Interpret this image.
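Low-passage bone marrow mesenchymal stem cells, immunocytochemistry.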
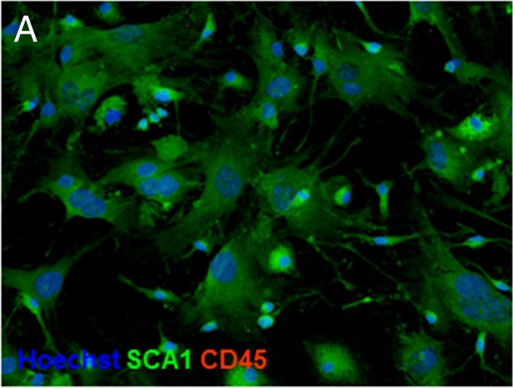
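Many cells are large and flattened, with broad, irregular sheets of cytoplasm that fill most of the field. Other cells are spindle-shaped or star-shaped, with thin processes that reach toward their neighbours. Their blue nuclei are oval and vary widely in size, and some are very large. The cytoplasm is outlined by green fluorescence throughout, with brighter granular patches around the nuclei. A few small, round, brightly green cells sit on top of the flat layer. No red fluorescence can be seen anywhere.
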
